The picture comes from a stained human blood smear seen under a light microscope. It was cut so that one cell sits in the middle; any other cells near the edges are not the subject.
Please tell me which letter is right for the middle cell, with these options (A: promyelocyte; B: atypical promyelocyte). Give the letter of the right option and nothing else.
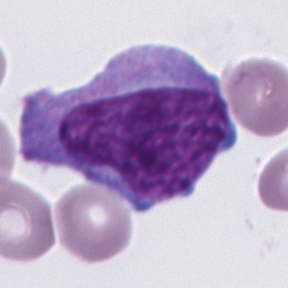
B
